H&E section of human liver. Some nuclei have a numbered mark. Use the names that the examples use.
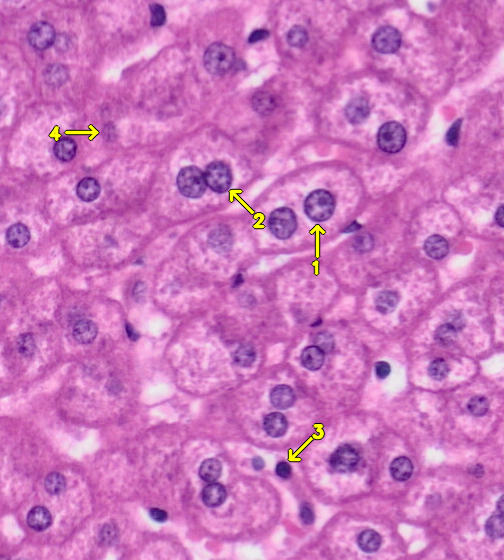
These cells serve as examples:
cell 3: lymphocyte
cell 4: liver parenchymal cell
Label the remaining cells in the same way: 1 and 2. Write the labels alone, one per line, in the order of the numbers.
liver parenchymal cell
liver parenchymal cell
